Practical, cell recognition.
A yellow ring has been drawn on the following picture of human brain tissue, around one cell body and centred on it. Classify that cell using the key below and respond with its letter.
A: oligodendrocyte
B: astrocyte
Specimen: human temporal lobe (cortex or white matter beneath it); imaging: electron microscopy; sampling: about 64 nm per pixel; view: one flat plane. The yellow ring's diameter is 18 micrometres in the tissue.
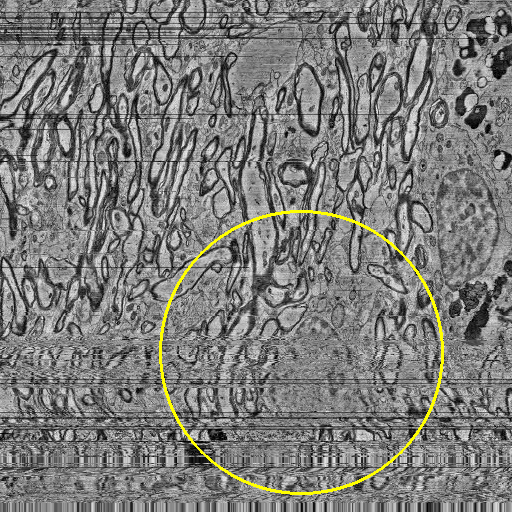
B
